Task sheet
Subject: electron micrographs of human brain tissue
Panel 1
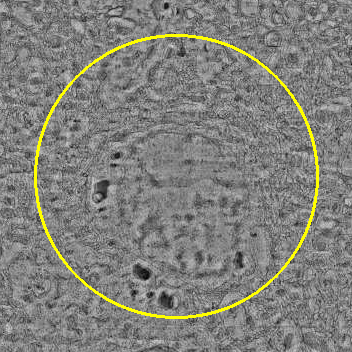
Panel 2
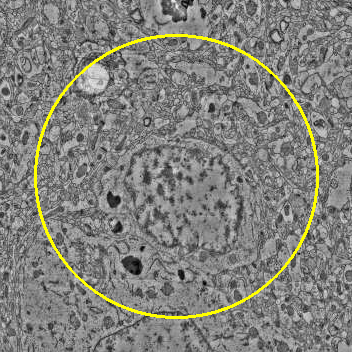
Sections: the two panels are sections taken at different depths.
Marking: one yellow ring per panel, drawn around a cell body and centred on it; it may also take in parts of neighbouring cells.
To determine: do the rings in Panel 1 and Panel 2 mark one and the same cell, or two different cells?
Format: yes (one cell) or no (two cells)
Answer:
yes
